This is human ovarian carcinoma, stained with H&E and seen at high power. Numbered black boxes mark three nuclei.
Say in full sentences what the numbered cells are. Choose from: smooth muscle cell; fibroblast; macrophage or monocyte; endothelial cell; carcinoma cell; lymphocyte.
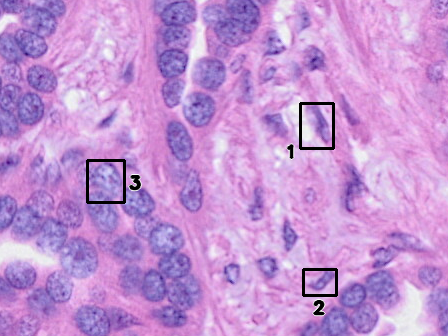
Cells 1 and 2 are fibroblasts. Cell 3 is a carcinoma cell.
